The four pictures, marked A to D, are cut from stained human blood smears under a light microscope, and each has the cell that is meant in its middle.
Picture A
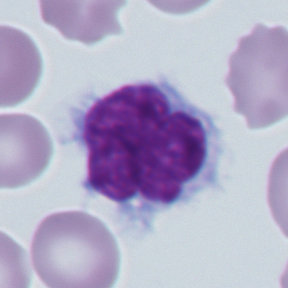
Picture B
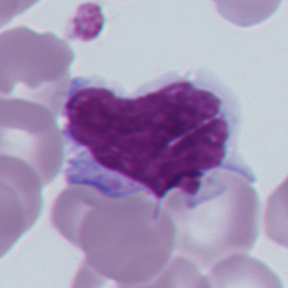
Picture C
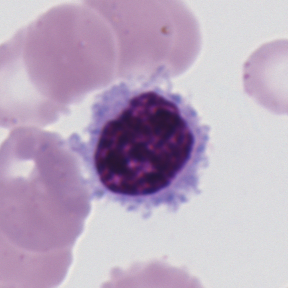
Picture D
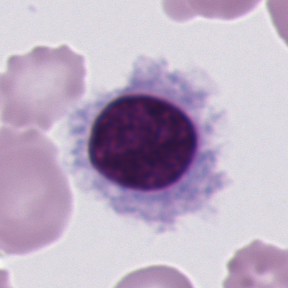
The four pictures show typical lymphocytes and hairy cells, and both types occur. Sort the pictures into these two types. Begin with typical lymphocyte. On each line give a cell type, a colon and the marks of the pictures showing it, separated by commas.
typical lymphocyte: B
hairy cell: A, C, D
